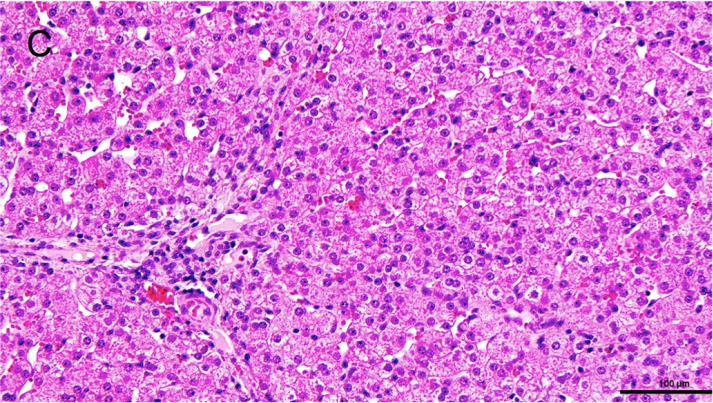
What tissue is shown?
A: liver parenchyma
